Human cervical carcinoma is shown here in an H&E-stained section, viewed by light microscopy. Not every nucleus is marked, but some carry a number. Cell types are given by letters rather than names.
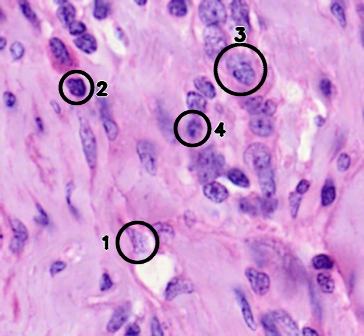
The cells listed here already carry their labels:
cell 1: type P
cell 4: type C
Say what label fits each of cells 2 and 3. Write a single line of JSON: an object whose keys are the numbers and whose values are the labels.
{"2": "type C", "3": "type P"}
